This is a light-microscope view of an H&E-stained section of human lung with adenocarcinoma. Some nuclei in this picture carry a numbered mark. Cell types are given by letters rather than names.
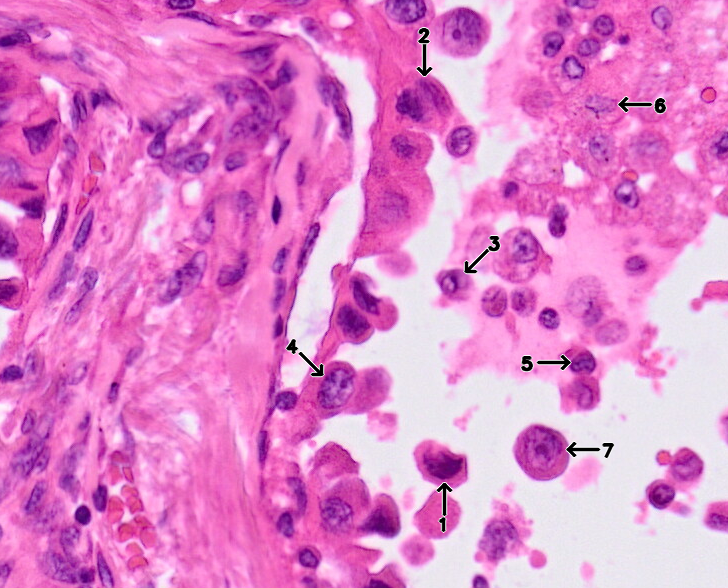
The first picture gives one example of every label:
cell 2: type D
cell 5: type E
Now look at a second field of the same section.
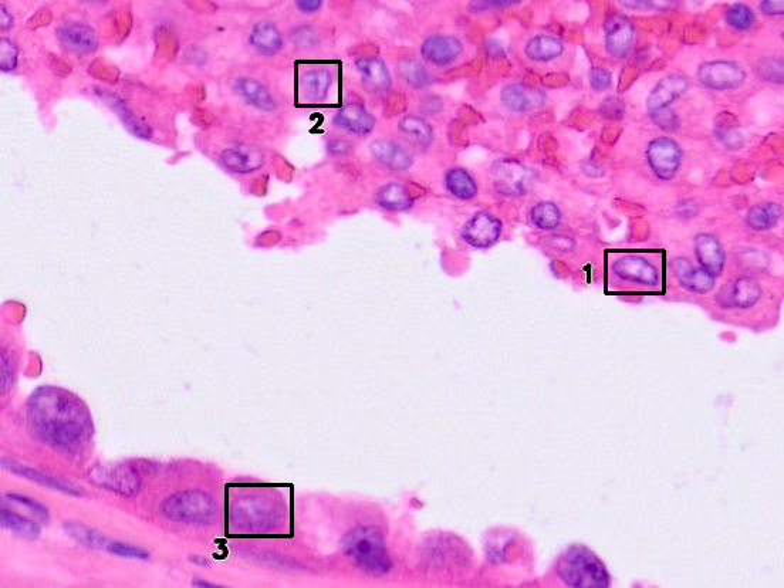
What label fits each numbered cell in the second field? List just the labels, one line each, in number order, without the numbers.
type E
type E
type D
